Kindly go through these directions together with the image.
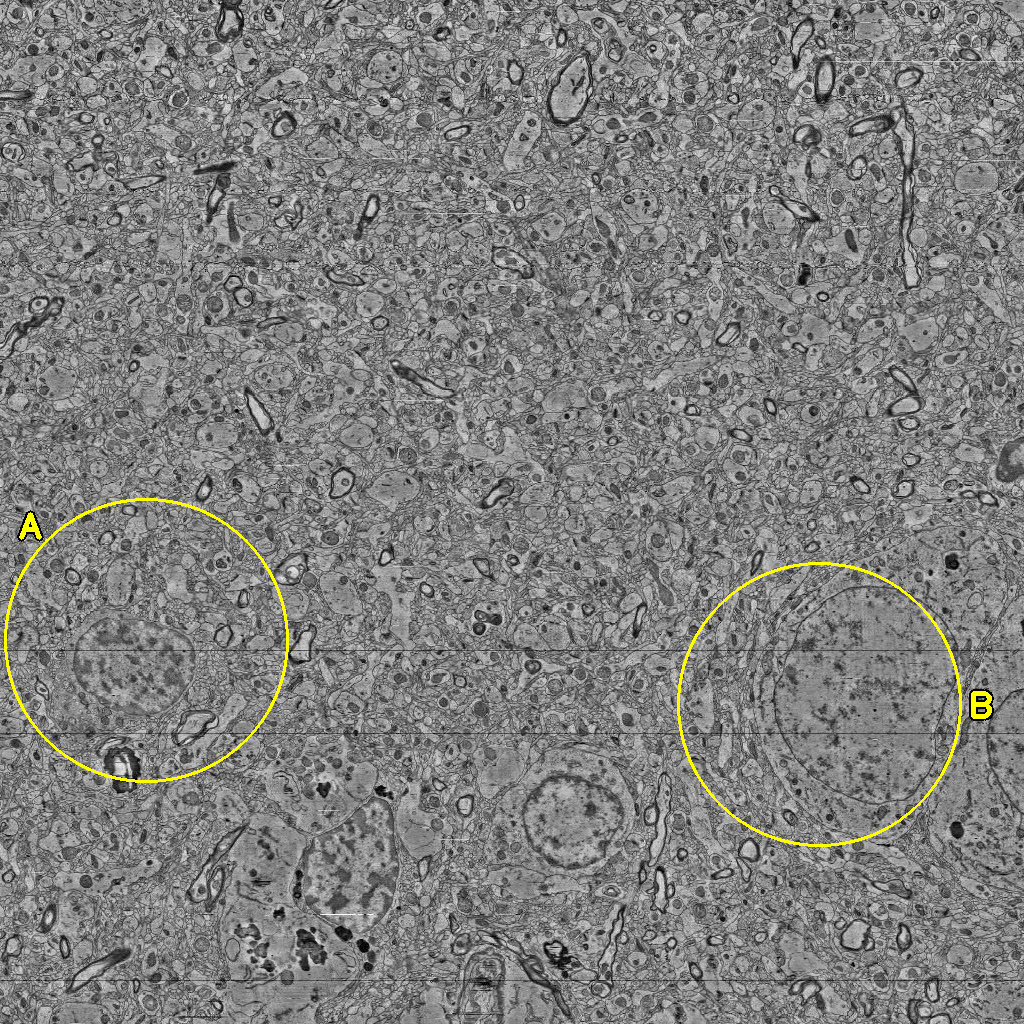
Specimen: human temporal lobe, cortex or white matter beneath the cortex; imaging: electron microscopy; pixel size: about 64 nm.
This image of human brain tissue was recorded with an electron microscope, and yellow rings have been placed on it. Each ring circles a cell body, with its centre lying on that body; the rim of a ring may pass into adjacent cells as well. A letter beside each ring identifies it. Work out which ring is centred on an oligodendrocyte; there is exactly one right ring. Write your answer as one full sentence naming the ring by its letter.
Ring A is the one whose centre lies on a cell of that kind.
